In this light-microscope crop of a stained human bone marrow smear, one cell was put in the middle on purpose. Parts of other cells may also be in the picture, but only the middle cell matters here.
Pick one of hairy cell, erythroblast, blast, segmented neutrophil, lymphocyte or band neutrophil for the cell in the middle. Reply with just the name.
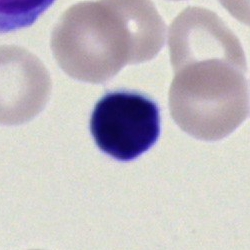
lymphocyte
